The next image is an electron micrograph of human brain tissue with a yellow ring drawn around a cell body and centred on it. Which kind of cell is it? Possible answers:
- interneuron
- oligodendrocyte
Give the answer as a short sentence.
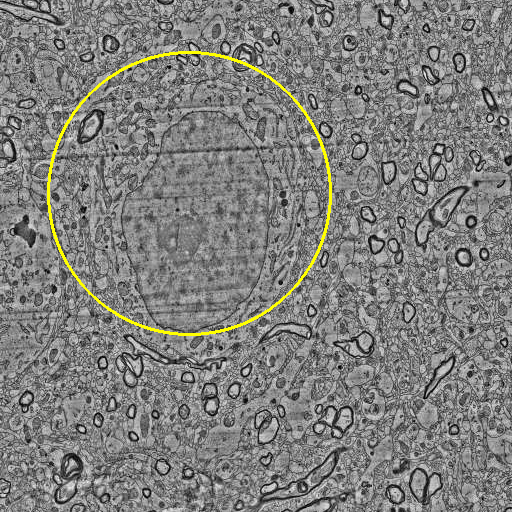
In the ring's centre is an interneuron.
